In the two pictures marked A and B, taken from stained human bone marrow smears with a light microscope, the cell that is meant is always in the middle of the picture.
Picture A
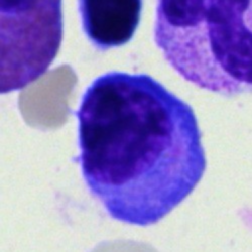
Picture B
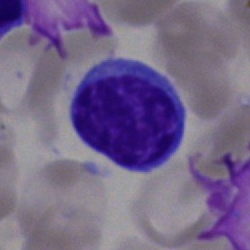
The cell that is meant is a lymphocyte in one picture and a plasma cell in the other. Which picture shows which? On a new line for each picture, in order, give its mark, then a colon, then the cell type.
A: plasma cell
B: lymphocyte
